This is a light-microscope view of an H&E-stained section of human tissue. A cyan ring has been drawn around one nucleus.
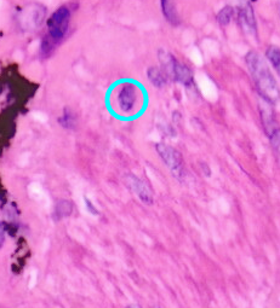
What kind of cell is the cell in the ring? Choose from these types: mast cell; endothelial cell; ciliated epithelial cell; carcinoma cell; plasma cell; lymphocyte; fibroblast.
mast cell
